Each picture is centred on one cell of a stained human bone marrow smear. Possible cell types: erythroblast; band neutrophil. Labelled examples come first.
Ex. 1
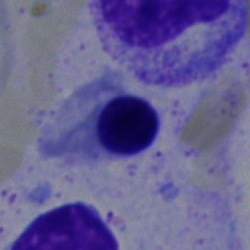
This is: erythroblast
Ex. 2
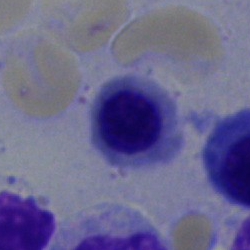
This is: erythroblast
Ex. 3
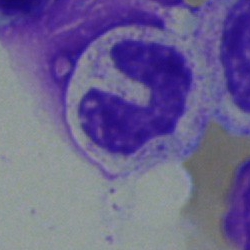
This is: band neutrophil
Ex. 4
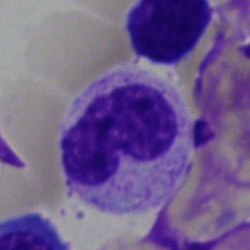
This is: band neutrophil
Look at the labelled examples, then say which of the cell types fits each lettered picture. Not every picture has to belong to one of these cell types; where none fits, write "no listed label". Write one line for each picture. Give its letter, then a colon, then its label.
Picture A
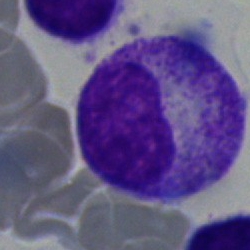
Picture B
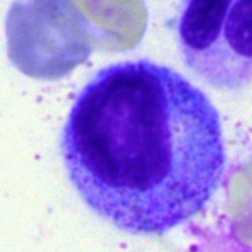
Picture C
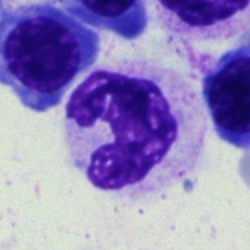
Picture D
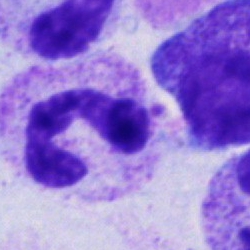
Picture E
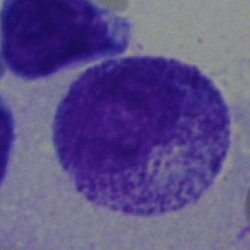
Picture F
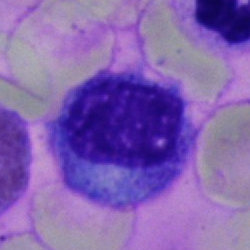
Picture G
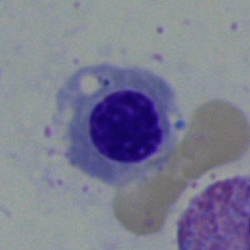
A: no listed label
B: no listed label
C: band neutrophil
D: band neutrophil
E: no listed label
F: no listed label
G: erythroblast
